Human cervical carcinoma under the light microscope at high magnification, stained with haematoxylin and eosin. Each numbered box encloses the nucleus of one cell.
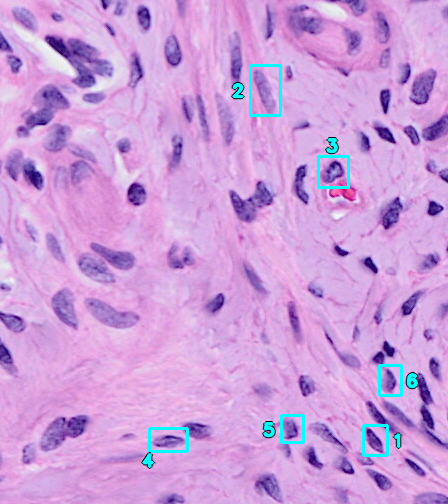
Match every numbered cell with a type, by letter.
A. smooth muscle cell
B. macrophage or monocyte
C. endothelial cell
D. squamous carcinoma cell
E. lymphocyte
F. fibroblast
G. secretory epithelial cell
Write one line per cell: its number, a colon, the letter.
1: F
2: A
3: C
4: F
5: F
6: F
